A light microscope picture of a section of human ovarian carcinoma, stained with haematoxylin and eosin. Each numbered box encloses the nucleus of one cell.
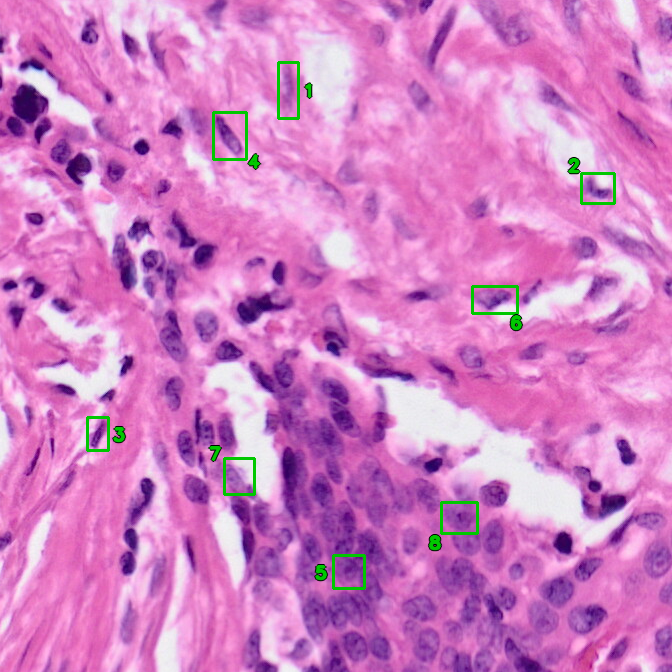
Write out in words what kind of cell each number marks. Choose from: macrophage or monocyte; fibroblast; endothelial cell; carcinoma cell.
Cell 1 is a fibroblast, cell 2 is a fibroblast, cell 3 is a fibroblast, cell 4 is a fibroblast, cell 5 is a carcinoma cell, cell 6 is a fibroblast, cell 7 is a carcinoma cell and cell 8 is a carcinoma cell.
